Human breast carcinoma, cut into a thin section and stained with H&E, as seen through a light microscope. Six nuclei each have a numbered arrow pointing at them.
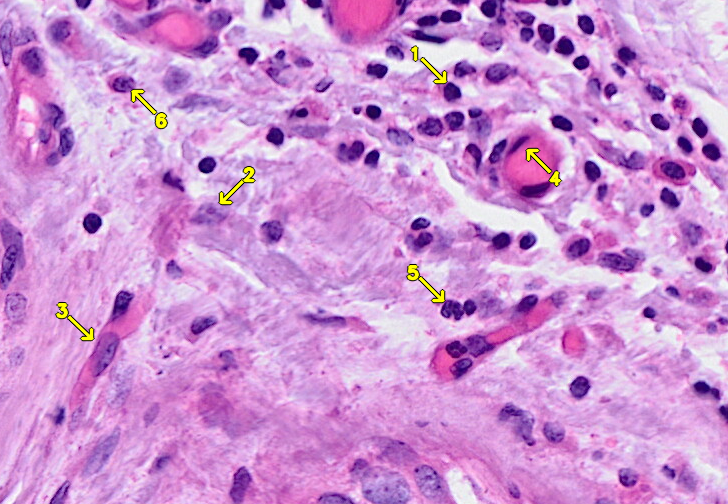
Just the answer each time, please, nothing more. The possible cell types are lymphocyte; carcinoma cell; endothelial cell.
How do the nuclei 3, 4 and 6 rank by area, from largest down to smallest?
3, 6, 4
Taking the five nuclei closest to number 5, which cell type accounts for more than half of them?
endothelial cell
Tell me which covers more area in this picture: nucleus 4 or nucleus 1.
1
